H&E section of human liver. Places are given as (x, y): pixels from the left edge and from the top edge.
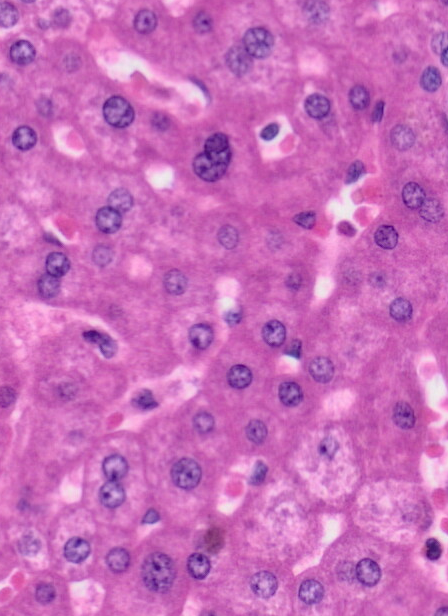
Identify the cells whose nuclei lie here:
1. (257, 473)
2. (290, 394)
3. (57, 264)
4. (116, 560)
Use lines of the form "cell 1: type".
cell 1: endothelial cell
cell 2: hepatocyte
cell 3: hepatocyte
cell 4: hepatocyte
